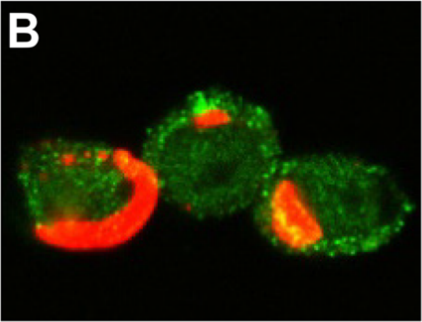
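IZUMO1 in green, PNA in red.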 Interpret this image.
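Three small round germ cells lie touching one another, each with a red cap of varying extent over one side of the nucleus; in the leftmost cell the red forms a broad curved crescent, in the others a shorter band or small patch. Fine green dots stud the cell surface and cytoplasm, with some yellow where green meets the red cap. The rounded shape, small size and cap-like red structure hugging the nucleus fit round spermatids whose acrosome is forming as a cap over the nucleus.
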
